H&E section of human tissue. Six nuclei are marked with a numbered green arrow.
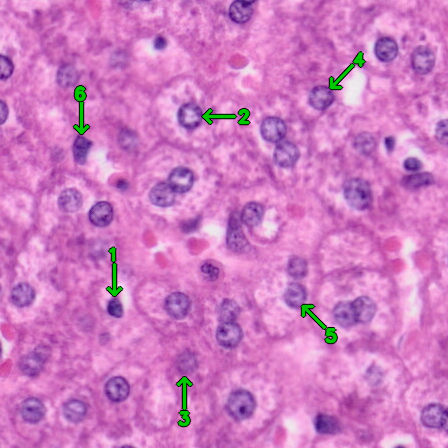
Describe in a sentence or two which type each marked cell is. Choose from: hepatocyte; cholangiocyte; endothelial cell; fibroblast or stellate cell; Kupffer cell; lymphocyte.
Cell 1 is a lymphocyte. Cells 2, 3, 4 and 5 are hepatocytes. Cell 6 is an endothelial cell.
